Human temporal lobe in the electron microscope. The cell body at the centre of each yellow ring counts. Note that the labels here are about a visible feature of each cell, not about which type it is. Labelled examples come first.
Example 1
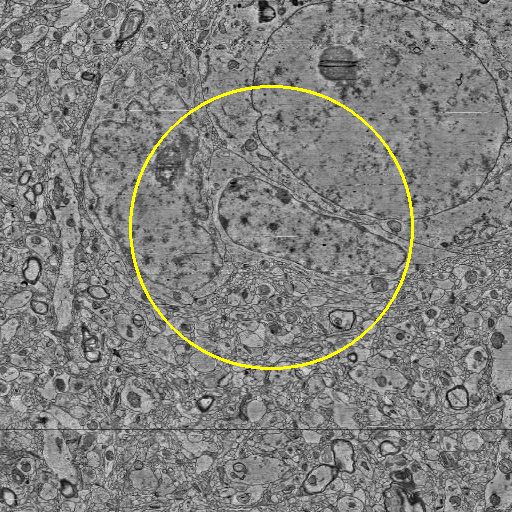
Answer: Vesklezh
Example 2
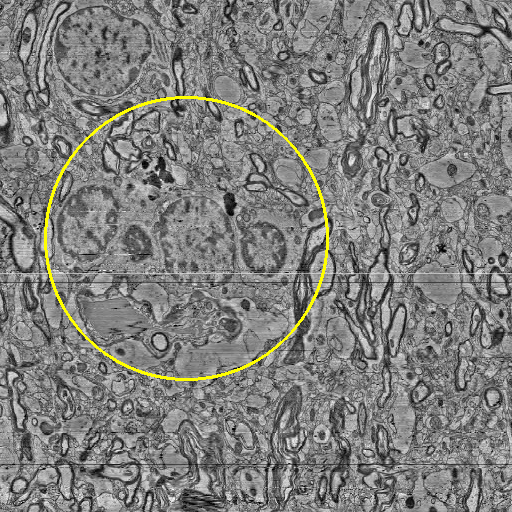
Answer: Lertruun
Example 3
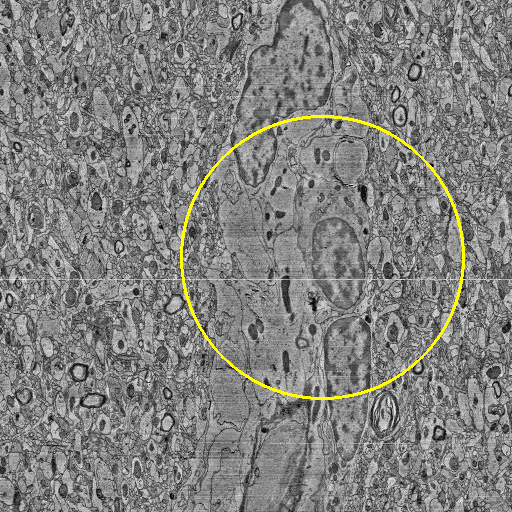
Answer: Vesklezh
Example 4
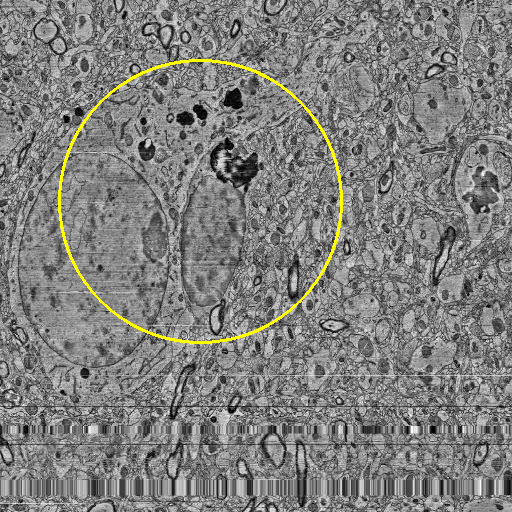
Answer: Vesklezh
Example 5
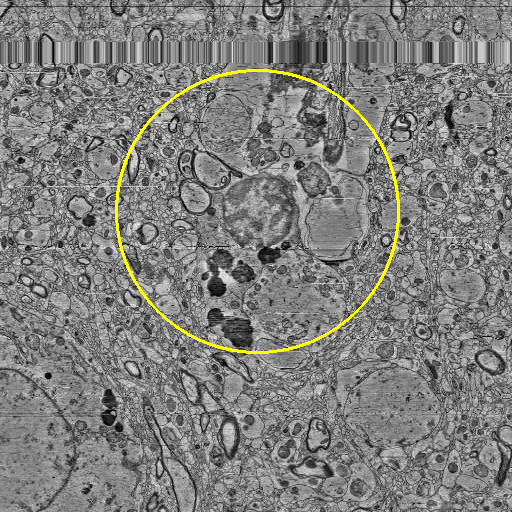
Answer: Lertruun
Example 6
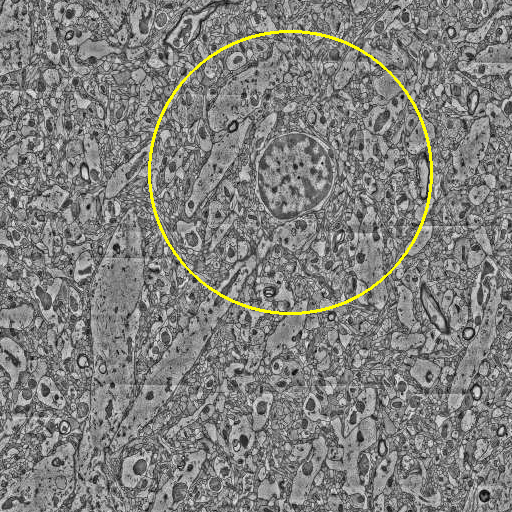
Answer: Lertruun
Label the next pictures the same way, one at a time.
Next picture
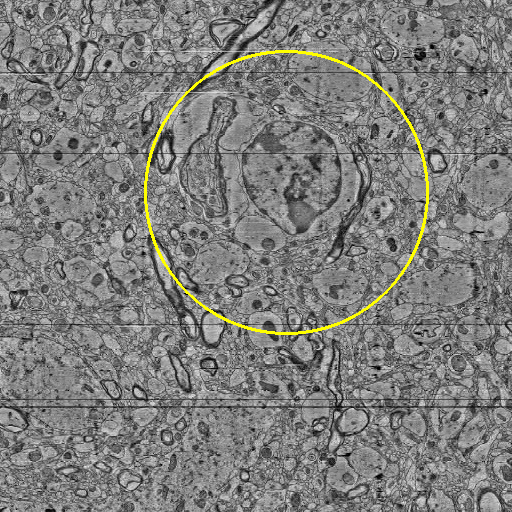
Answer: Lertruun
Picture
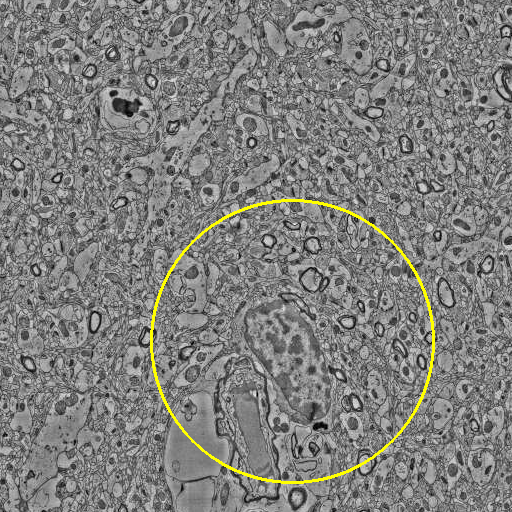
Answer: Vesklezh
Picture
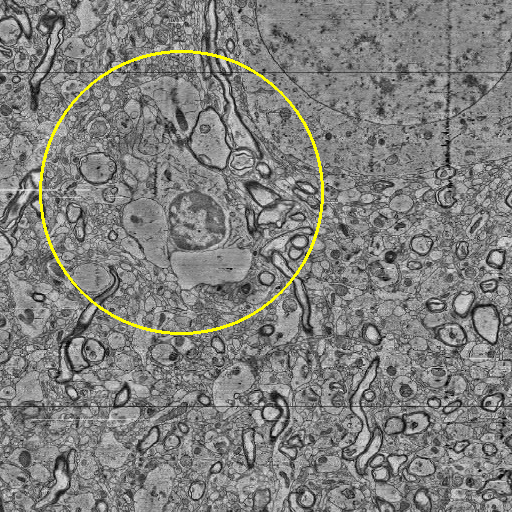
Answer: Lertruun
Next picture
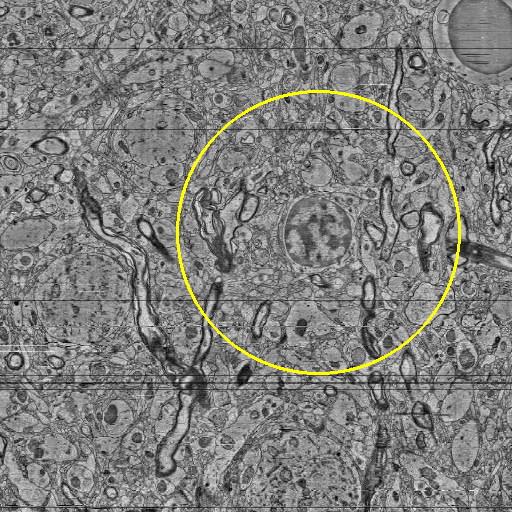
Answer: Lertruun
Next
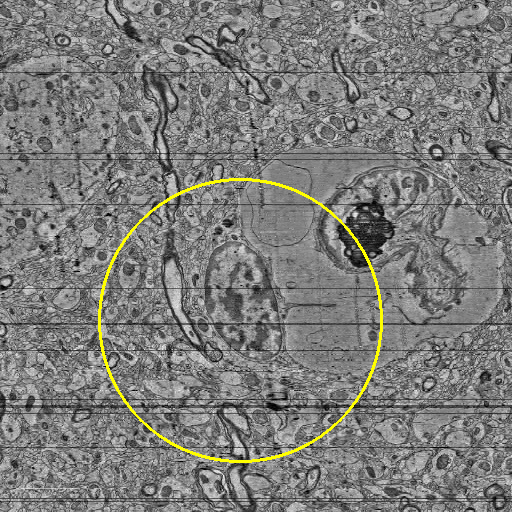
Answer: Vesklezh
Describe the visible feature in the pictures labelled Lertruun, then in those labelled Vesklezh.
Lertruun, round or nearly round nuclei; Vesklezh, clearly elongated nuclei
